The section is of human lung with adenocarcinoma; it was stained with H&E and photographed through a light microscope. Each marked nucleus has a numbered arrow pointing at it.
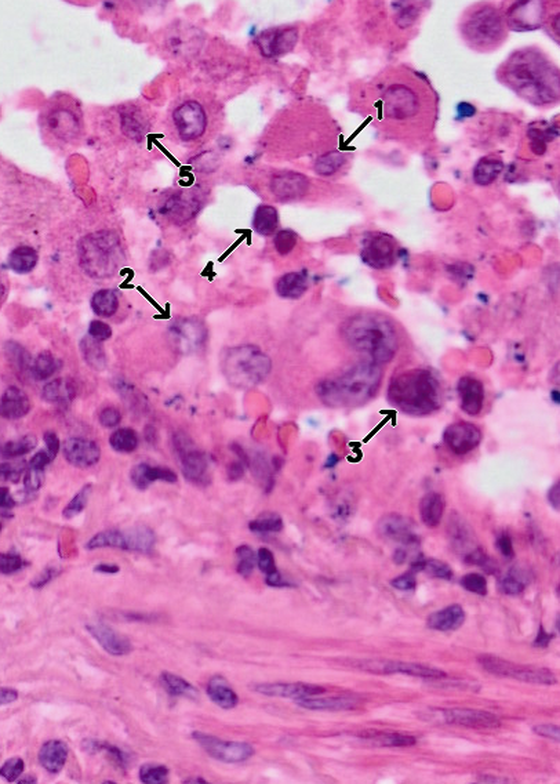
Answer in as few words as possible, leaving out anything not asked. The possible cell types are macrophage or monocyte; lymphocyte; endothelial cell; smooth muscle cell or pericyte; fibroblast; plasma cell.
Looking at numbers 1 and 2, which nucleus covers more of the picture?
2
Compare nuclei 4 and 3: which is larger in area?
3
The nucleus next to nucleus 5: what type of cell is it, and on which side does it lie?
a macrophage or monocyte, to the right of nucleus 5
